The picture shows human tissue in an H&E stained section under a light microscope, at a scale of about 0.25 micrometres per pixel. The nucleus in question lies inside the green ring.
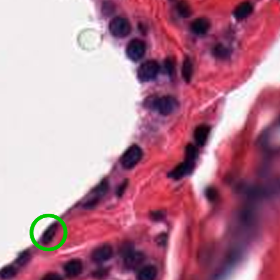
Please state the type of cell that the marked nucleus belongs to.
thyroid follicular cell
